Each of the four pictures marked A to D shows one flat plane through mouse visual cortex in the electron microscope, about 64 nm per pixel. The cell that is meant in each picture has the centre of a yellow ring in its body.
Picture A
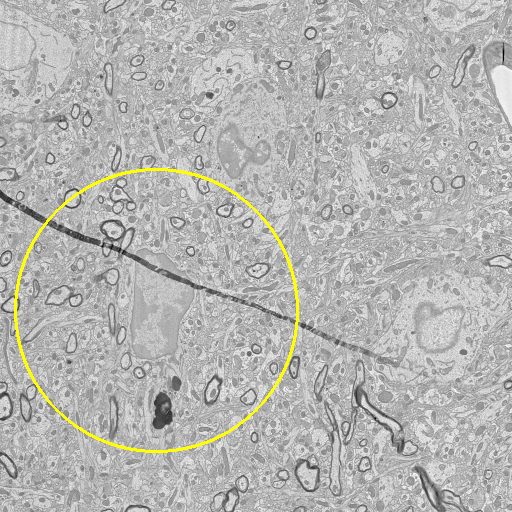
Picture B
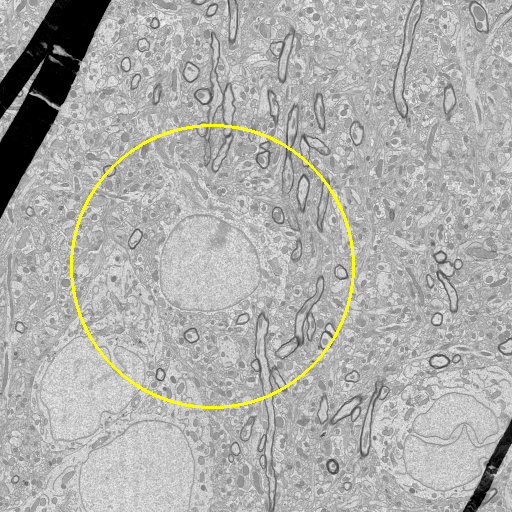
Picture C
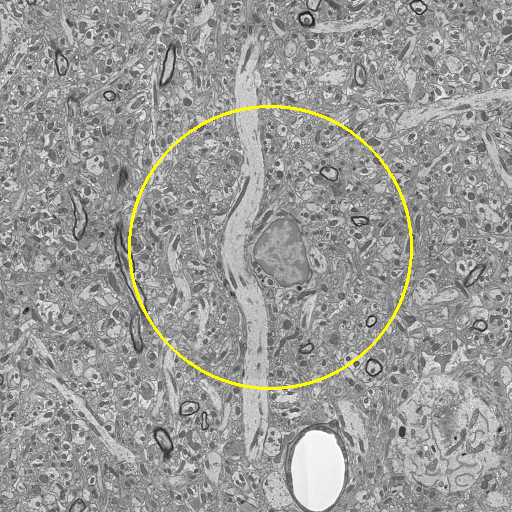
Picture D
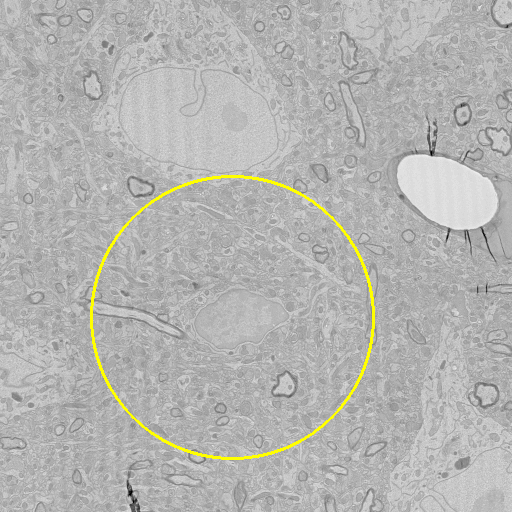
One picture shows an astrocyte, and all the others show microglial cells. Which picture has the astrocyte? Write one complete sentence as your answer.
The picture with the astrocyte is B.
